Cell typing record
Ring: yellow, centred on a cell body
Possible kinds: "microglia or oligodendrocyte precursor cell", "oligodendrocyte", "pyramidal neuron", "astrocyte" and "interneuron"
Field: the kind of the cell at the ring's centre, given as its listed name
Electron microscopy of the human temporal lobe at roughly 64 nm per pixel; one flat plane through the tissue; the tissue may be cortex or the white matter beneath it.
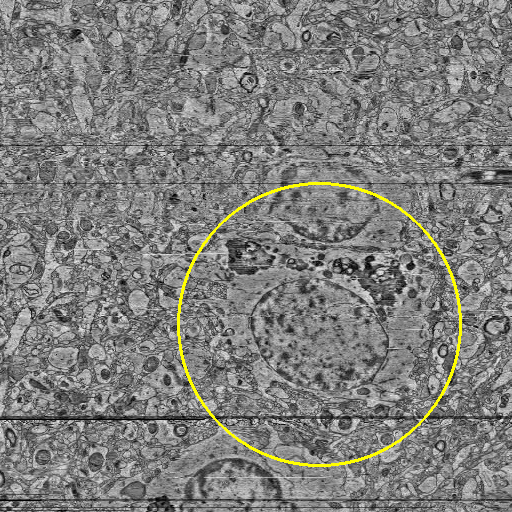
astrocyte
